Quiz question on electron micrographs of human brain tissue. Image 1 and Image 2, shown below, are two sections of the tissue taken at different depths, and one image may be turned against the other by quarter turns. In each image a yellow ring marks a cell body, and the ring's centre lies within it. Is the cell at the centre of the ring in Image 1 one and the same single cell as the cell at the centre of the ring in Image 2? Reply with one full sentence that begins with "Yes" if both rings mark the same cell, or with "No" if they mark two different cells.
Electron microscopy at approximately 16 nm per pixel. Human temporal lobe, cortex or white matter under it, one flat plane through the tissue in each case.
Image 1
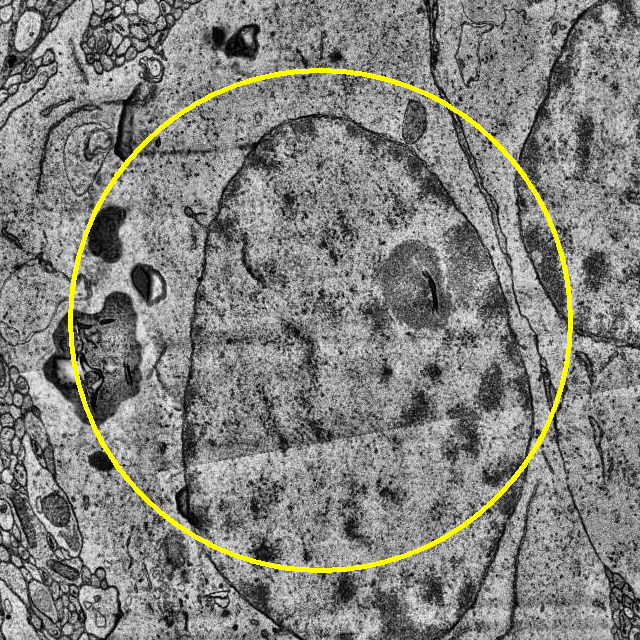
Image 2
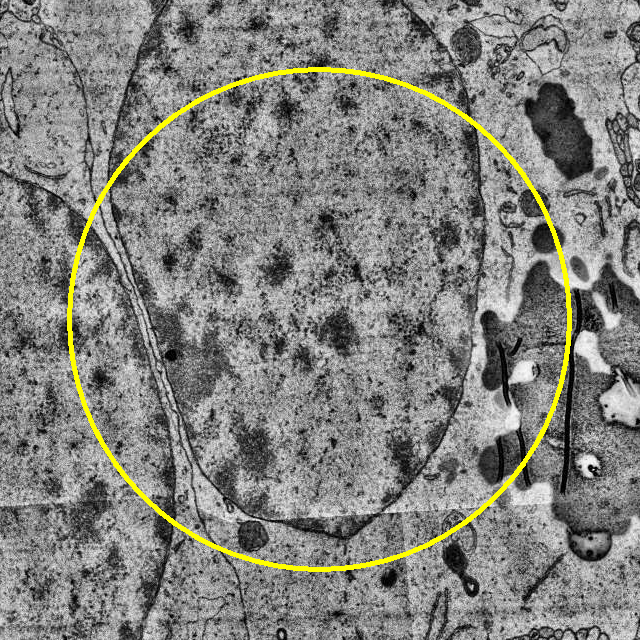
Yes, the same individual cell is enclosed by both rings.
